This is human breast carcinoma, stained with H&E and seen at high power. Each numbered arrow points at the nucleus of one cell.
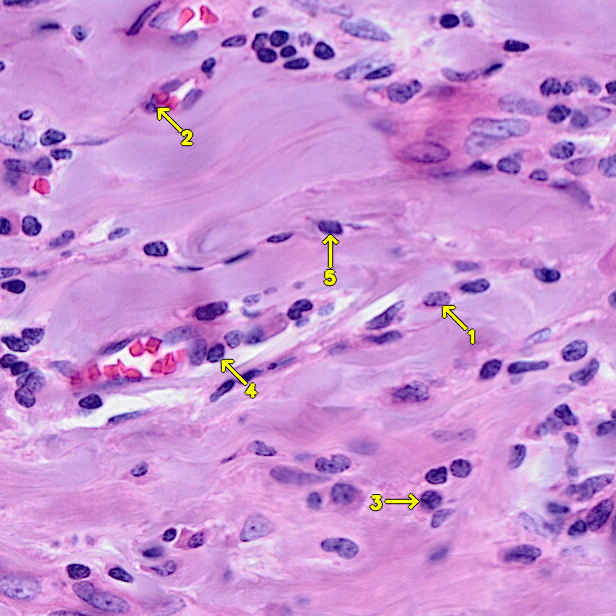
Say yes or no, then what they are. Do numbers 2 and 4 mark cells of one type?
No, rather, cell 2 is an endothelial cell and cell 4 is a lymphocyte.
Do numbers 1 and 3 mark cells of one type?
No, cell 3 is a lymphocyte, but cell 1 is a mast cell.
